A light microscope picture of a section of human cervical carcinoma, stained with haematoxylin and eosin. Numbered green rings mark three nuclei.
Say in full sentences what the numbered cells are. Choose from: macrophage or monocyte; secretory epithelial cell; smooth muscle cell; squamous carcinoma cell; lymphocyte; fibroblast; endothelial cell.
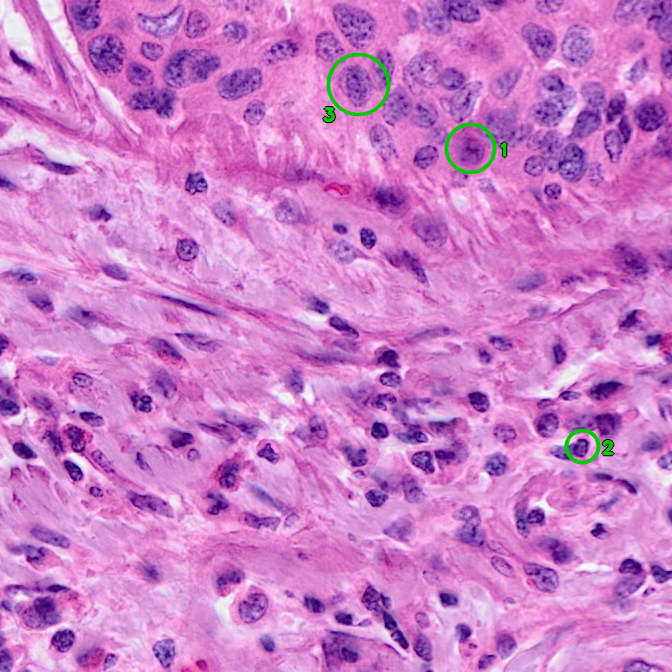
Cell 1 is a squamous carcinoma cell, cell 2 is a lymphocyte and cell 3 is a squamous carcinoma cell.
